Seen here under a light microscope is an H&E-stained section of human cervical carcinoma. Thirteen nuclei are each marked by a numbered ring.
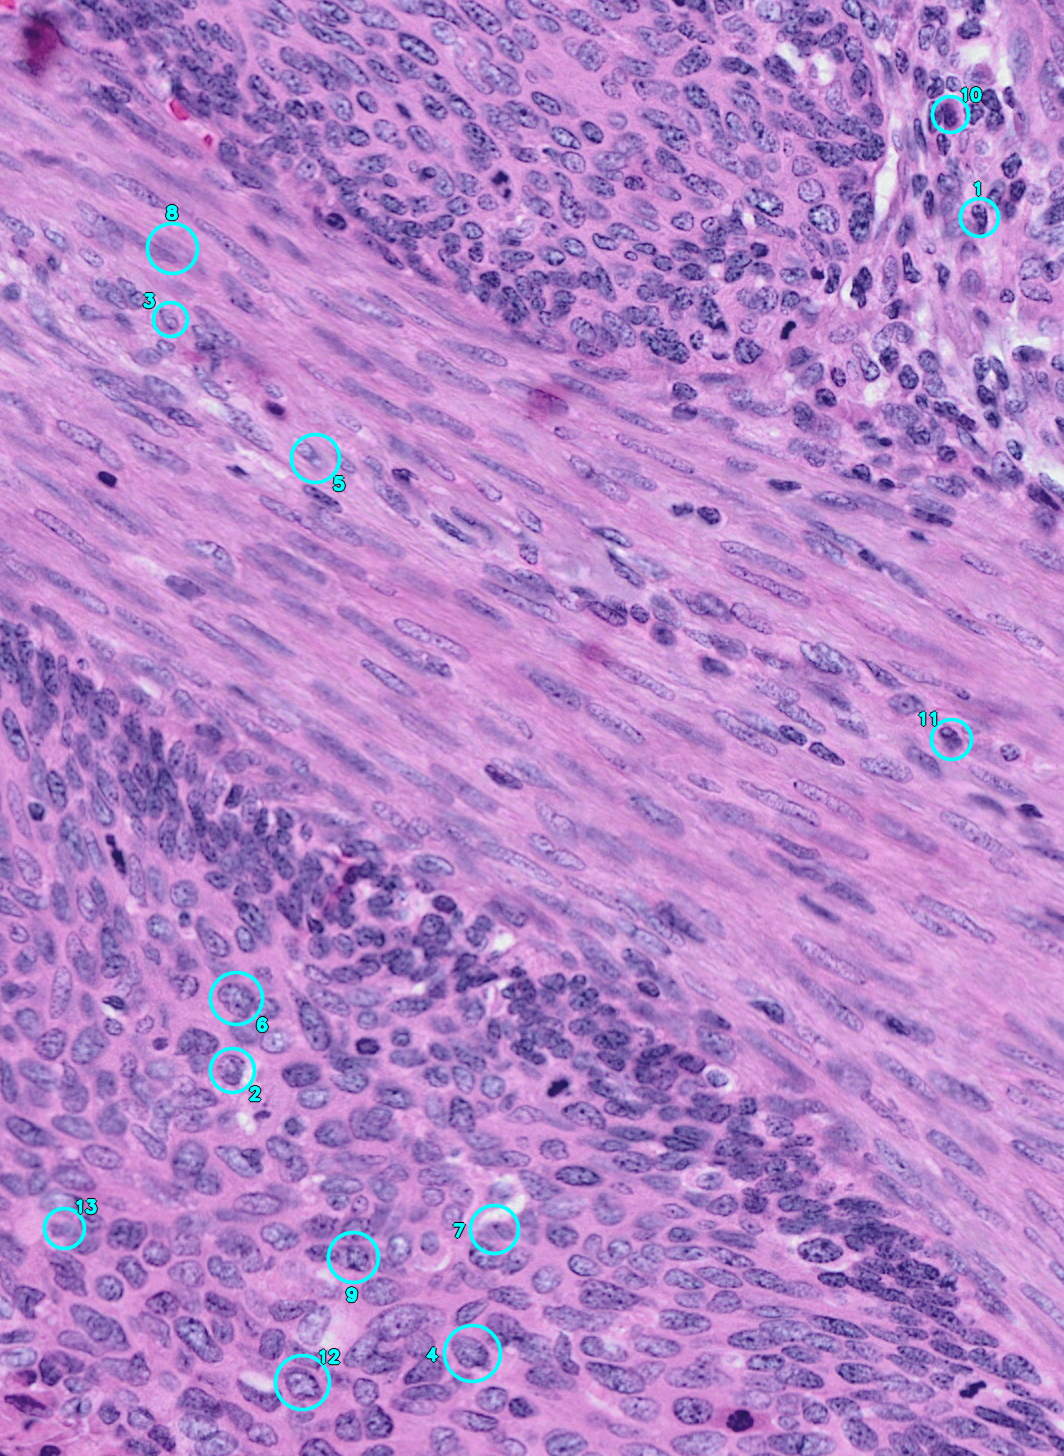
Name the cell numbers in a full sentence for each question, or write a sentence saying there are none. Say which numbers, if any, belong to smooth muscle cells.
The cells numbered 3, 5 and 8 are, by type, smooth muscle cells.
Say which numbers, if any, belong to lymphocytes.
The cells referred to by the numbers 1, 10 and 11 are lymphocytes.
